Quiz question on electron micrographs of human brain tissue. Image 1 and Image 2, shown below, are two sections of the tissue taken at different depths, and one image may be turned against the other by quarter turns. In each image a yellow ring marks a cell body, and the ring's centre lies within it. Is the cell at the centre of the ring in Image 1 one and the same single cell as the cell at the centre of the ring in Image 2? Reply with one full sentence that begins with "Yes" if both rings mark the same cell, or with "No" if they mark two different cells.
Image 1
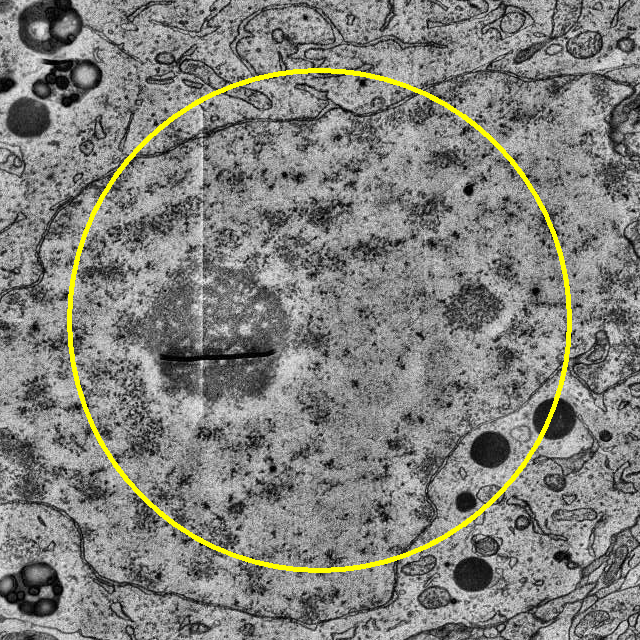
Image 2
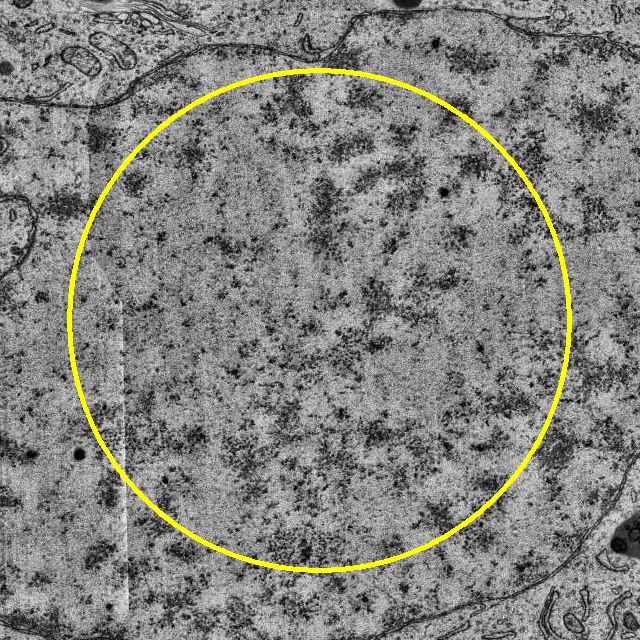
Yes, the cell marked in each ring is one and the same.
